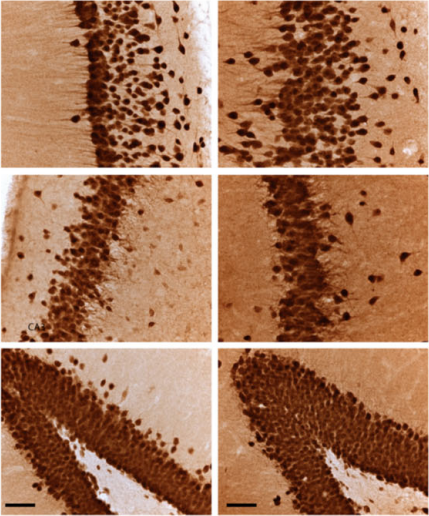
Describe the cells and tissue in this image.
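Hippocampal neurons in three subfields, in paired images: pyramidal cell layers of Ammon's horn above and in the middle, and the granule cell layer of the dentate gyrus below, with neuronal nuclei stained dark brown. The dentate granule cells form densely packed, curved blades of small round nuclei on either side of a pale hilus containing occasional stained cells.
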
